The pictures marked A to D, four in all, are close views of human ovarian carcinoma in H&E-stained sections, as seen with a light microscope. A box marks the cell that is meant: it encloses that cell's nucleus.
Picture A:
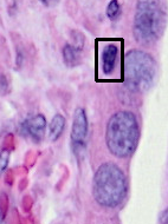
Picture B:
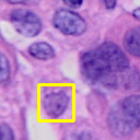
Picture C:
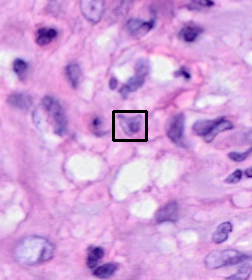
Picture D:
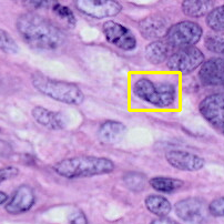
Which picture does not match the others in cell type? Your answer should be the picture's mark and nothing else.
A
